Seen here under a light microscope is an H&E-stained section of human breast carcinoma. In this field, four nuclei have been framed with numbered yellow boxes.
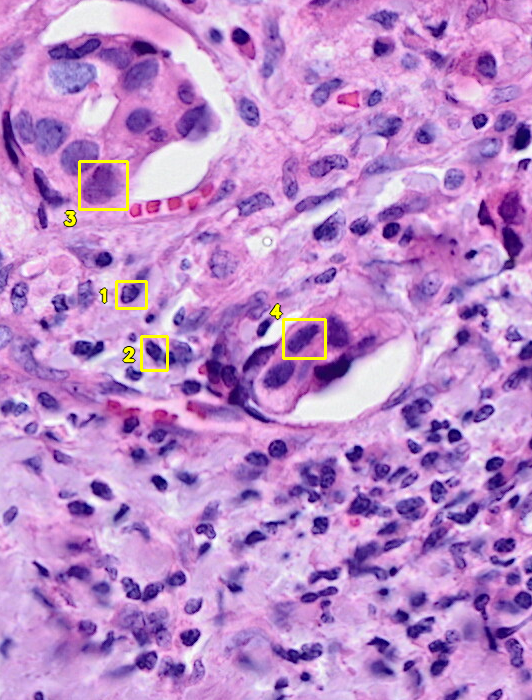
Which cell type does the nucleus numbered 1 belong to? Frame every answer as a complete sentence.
The marked cell with the number 1 is recognised as a lymphocyte.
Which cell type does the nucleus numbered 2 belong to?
Number 2 is placed on a lymphocyte here.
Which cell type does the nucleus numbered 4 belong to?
Belonging to a carcinoma cell is the nucleus that carries the number 4.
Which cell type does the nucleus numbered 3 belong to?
Among the marked cells, number 3 is a carcinoma cell.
